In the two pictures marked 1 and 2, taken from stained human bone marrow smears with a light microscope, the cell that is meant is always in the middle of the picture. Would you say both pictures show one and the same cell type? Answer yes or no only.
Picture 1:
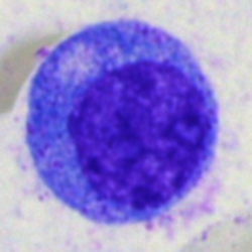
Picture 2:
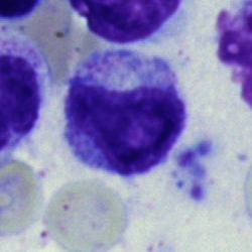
no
